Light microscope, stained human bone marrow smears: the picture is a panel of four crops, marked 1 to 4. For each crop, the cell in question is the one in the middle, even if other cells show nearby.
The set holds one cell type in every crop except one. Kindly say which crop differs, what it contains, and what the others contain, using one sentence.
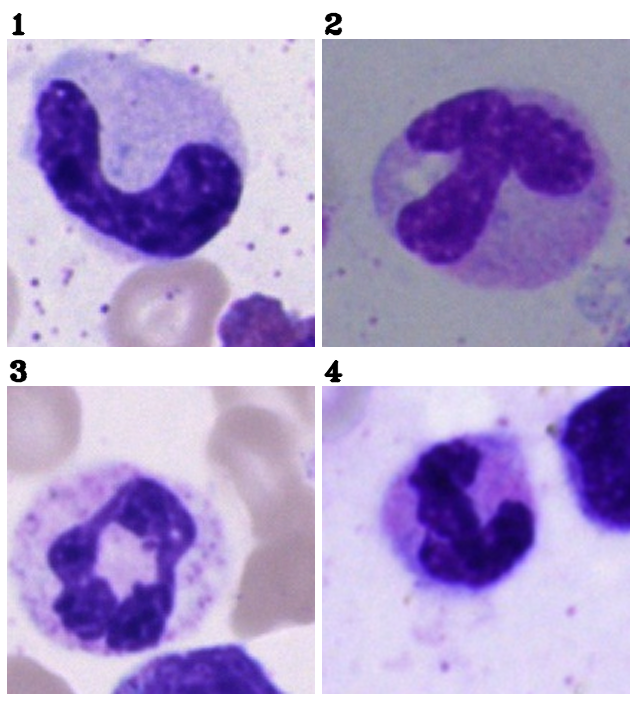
The one crop not showing segmented neutrophils is crop 1, which shows a band neutrophil.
